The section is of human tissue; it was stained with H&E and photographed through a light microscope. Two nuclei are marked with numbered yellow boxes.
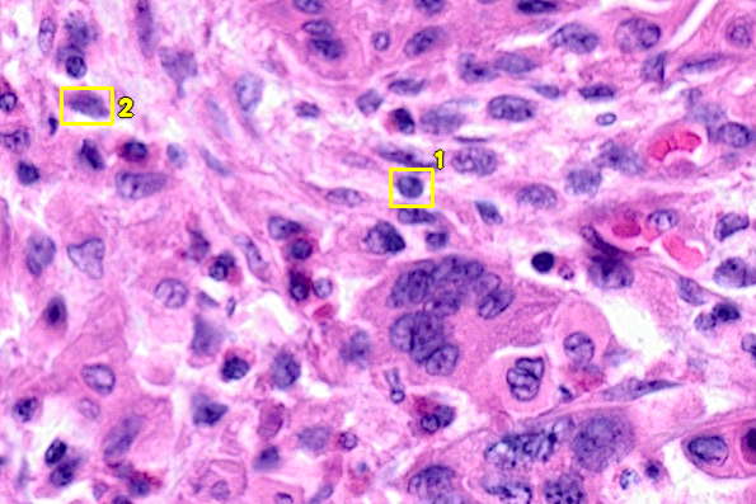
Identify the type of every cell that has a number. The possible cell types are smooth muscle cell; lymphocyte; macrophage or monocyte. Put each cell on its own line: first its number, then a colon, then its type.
1: lymphocyte
2: macrophage or monocyte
